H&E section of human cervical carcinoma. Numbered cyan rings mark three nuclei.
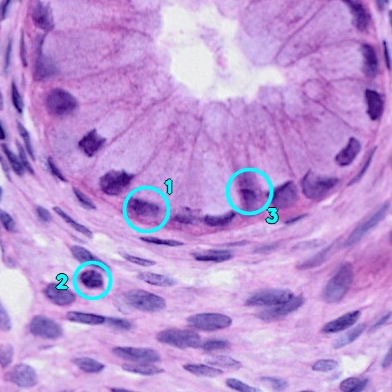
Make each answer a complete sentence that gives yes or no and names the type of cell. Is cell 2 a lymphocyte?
Yes, the cell marked by the number 2 is a lymphocyte.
